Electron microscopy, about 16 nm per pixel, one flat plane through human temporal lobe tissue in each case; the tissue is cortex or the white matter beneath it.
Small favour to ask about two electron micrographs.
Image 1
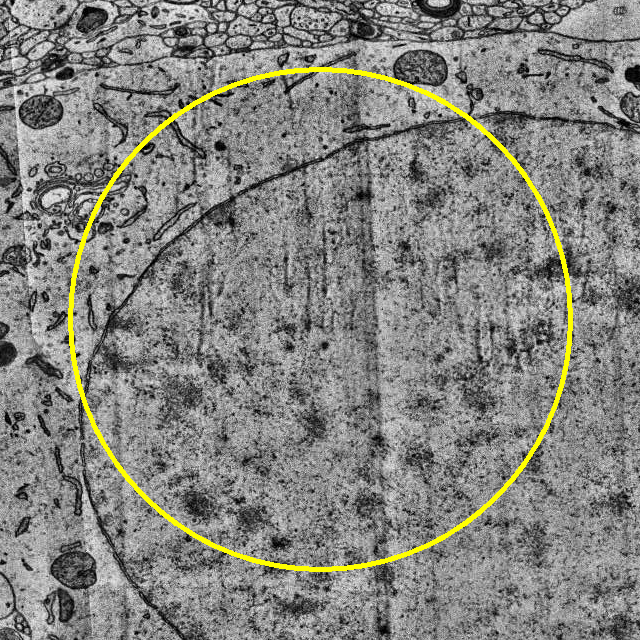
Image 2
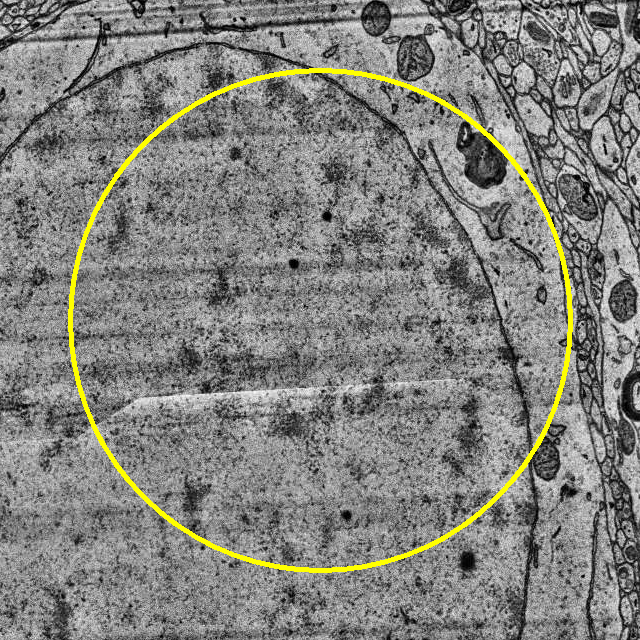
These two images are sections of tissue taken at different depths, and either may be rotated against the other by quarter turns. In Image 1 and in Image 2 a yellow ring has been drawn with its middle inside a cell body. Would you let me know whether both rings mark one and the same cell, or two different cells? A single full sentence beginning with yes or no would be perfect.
Yes, one cell is ringed in yellow twice over.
